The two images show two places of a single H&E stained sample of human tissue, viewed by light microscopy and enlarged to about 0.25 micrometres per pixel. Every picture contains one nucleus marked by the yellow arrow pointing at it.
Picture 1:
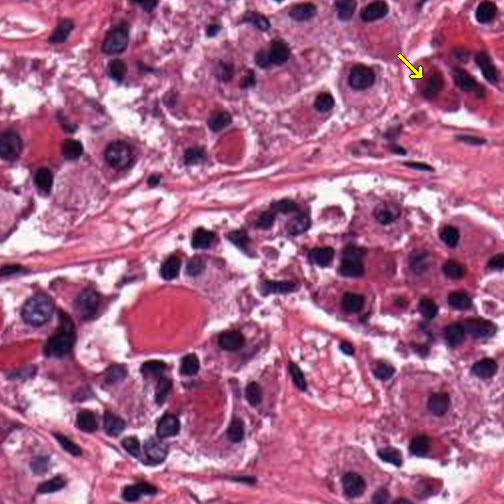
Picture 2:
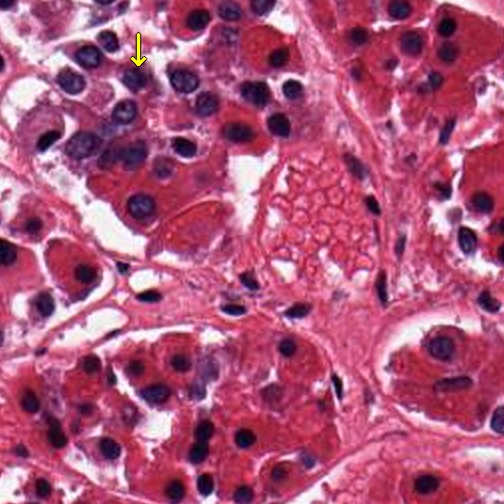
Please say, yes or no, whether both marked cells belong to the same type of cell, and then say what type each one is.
Yes, both are anterior pituitary cells.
